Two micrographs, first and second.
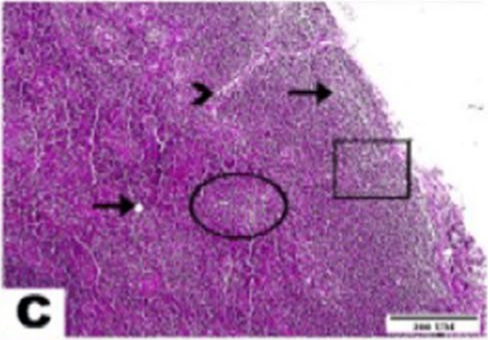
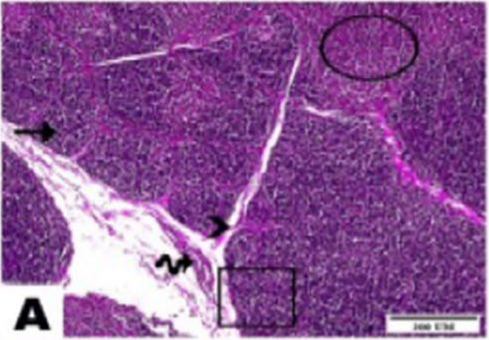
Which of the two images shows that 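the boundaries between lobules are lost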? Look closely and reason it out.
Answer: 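The first image. First image: the tissue forms a nearly continuous sheet with only faint lines between lobules. Second image: distinct lobules are separated by clear pink septa and pale connective tissue.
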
